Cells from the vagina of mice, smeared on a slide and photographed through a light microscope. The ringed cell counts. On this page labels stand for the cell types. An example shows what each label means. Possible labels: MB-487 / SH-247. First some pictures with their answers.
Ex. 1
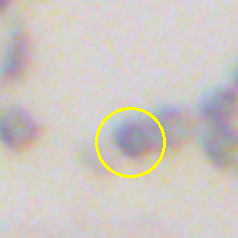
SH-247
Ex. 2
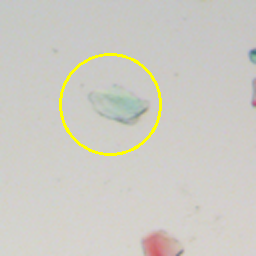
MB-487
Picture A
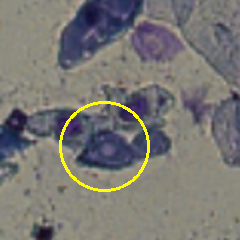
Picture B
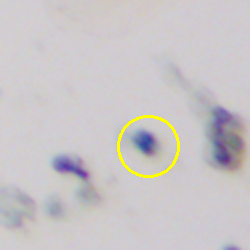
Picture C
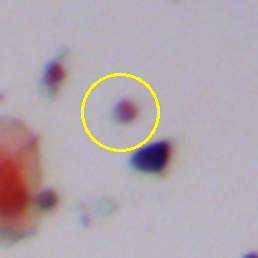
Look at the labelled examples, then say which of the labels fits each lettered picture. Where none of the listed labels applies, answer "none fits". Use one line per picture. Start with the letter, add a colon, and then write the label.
A: none fits
B: SH-247
C: SH-247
